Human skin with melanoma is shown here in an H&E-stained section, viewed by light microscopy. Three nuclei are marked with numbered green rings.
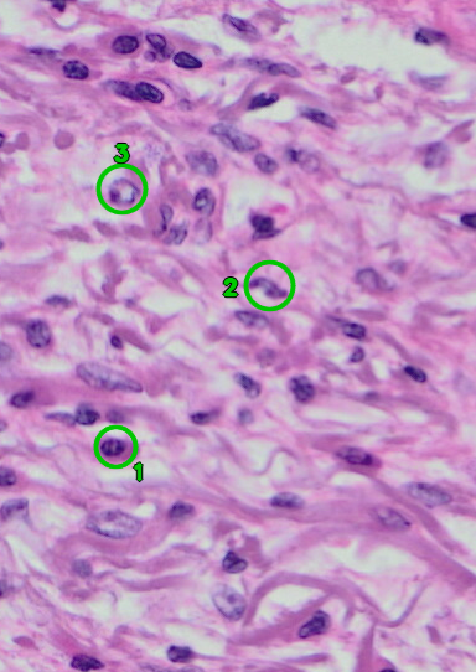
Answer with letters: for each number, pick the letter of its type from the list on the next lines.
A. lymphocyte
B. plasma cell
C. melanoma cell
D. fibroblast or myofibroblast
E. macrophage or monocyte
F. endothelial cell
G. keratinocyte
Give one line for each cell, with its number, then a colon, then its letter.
1: B
2: D
3: D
